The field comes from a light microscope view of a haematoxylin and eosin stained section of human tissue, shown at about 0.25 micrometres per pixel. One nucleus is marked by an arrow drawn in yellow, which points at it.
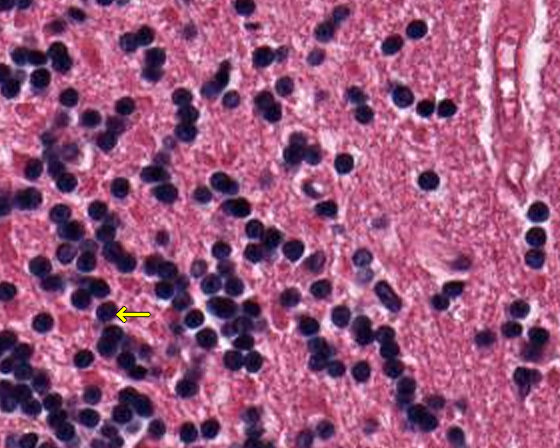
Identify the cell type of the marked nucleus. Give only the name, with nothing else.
cerebellar granule cell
